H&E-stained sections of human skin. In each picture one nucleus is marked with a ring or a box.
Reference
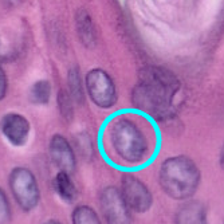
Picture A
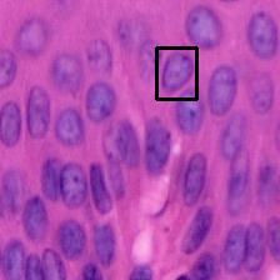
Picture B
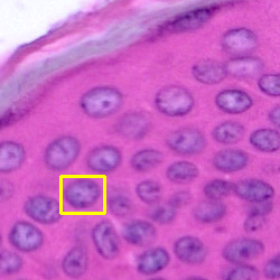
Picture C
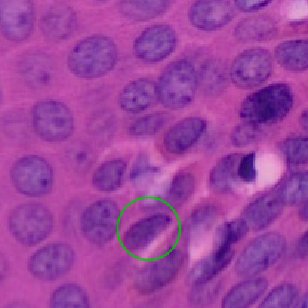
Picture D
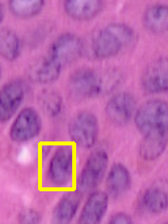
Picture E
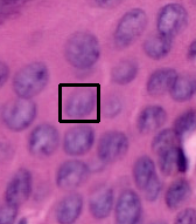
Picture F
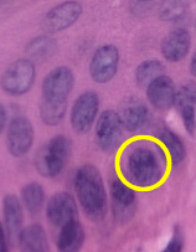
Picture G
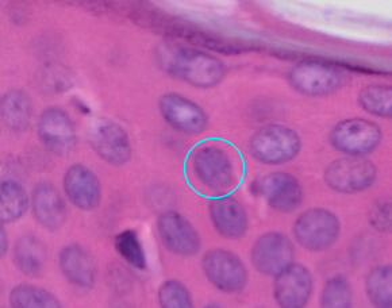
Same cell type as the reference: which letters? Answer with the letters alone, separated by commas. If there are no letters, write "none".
A, B, E, G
